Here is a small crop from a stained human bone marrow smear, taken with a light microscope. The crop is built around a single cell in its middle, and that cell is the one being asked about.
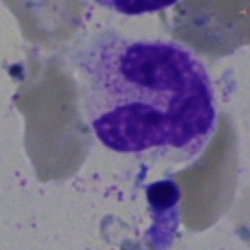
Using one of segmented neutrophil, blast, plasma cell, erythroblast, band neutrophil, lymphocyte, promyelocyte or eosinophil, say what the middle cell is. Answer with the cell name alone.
segmented neutrophil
